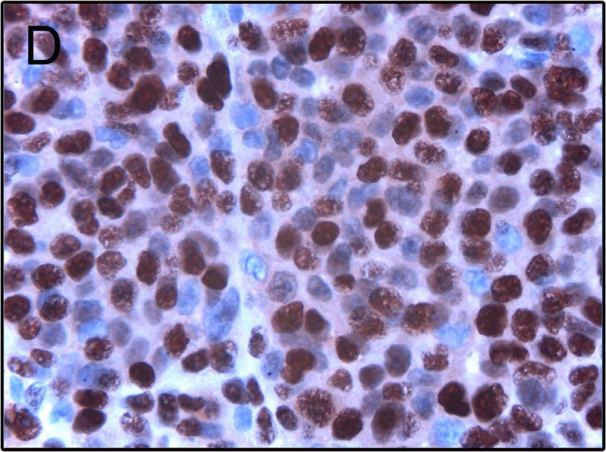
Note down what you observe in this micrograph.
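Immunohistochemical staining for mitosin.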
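A densely cellular sheet of closely packed cells with round to oval nuclei and scant cytoplasm fills the field, without obvious nests or glandular arrangement. The large majority of nuclei are stained brown, many intensely, often with a coarse granular or speckled chromatin pattern. A minority of nuclei are blue from the counterstain and unstained. Staining is nuclear, with little in the cytoplasm or the sparse intervening stroma. Nuclei vary somewhat in size and some are crowded or overlapping.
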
